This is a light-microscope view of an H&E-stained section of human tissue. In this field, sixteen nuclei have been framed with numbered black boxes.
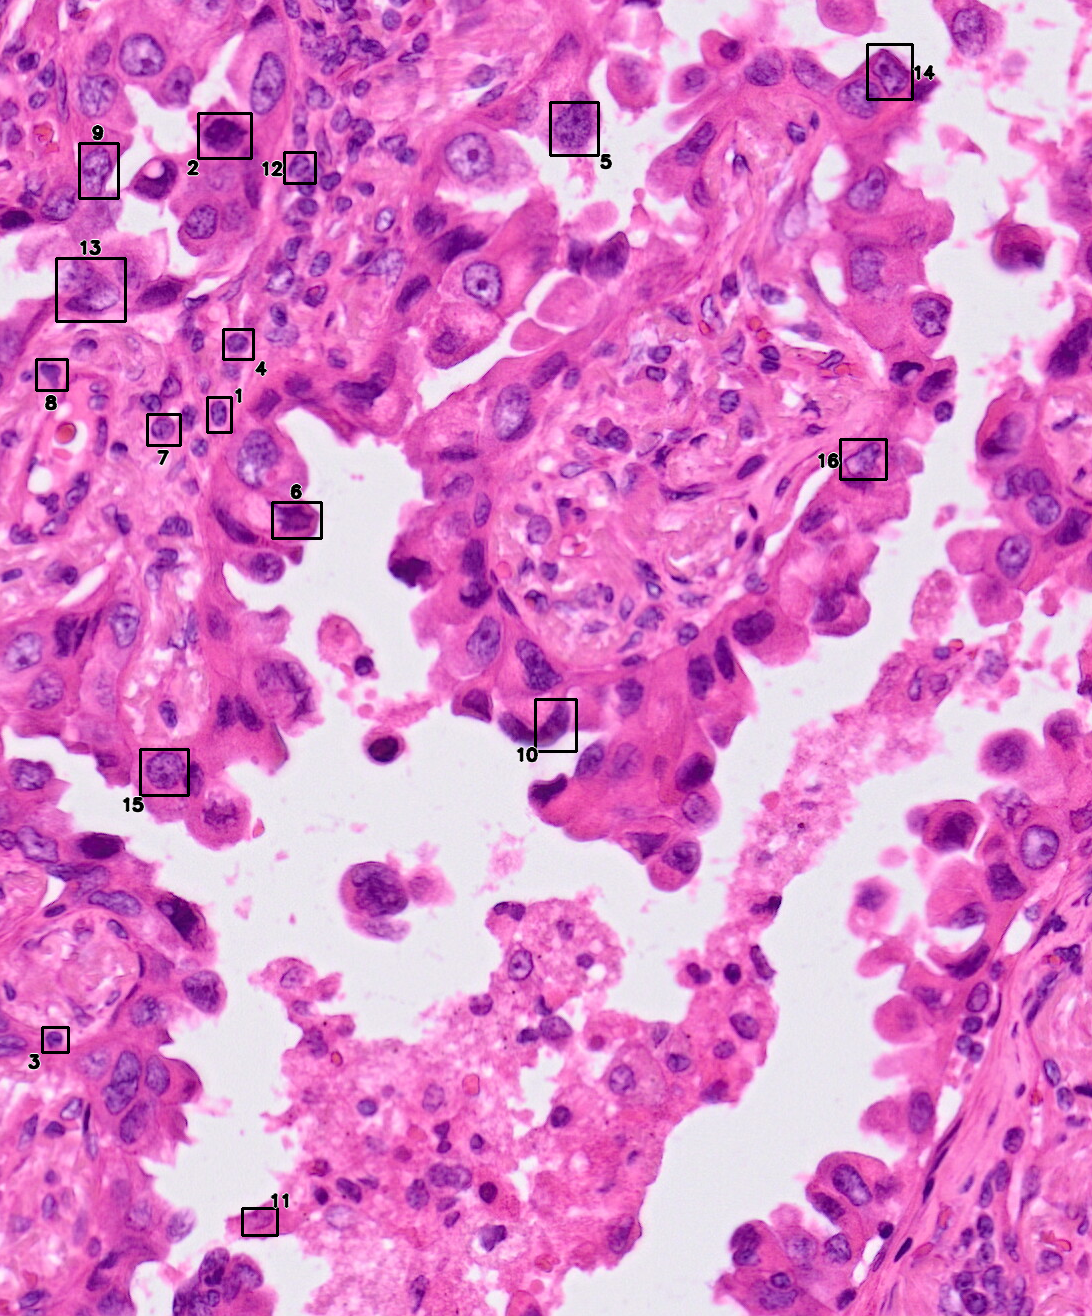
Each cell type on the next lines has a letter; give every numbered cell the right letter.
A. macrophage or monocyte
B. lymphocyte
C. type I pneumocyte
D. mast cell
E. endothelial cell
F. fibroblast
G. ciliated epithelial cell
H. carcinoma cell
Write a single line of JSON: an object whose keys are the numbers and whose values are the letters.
{"1": "B", "2": "H", "3": "B", "4": "B", "5": "H", "6": "H", "7": "B", "8": "B", "9": "H", "10": "H", "11": "A", "12": "B", "13": "H", "14": "H", "15": "H", "16": "H"}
